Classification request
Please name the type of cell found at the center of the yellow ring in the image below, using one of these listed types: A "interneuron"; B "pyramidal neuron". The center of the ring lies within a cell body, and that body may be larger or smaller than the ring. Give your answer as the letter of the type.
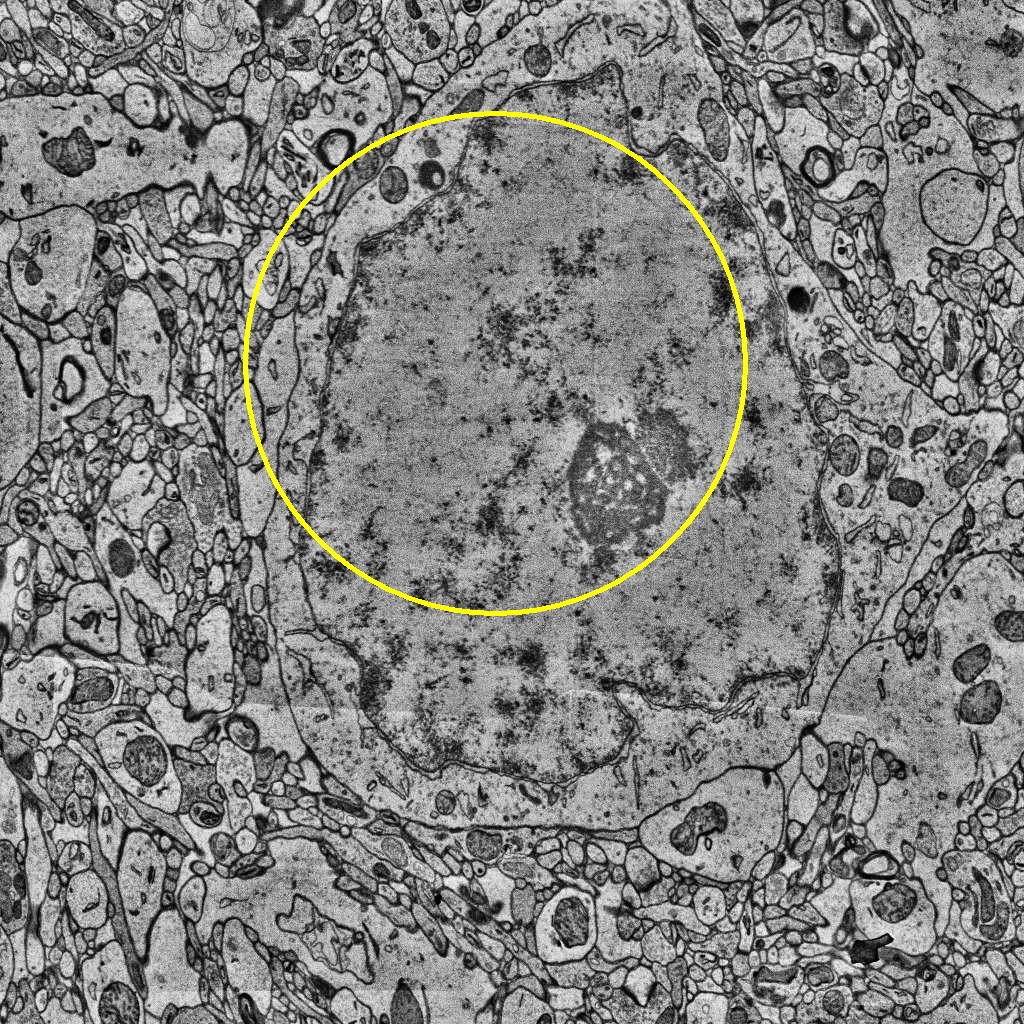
A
